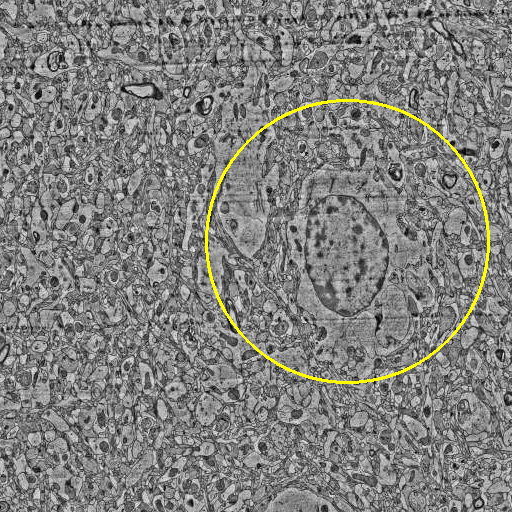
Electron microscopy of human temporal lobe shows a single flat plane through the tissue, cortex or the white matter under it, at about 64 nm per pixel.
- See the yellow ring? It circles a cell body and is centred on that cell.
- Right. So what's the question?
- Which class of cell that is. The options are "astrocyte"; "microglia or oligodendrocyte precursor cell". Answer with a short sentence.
The centre of the ring holds an astrocyte.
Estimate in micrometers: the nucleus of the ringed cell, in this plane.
About 8 by 5 micrometers for the nucleus, in this plane.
